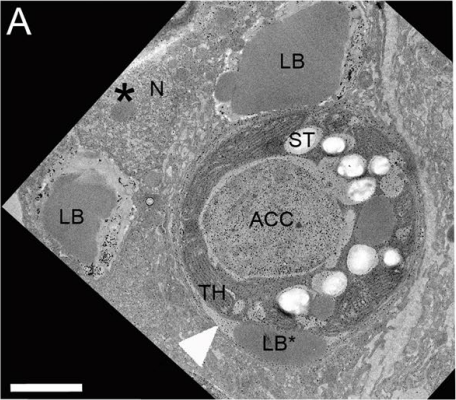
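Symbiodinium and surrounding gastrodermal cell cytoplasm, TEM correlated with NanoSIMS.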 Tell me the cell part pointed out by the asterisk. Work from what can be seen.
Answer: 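Nucleoli. The asterisk marks a small dense rounded body within a nucleus in the surrounding cytoplasm.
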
